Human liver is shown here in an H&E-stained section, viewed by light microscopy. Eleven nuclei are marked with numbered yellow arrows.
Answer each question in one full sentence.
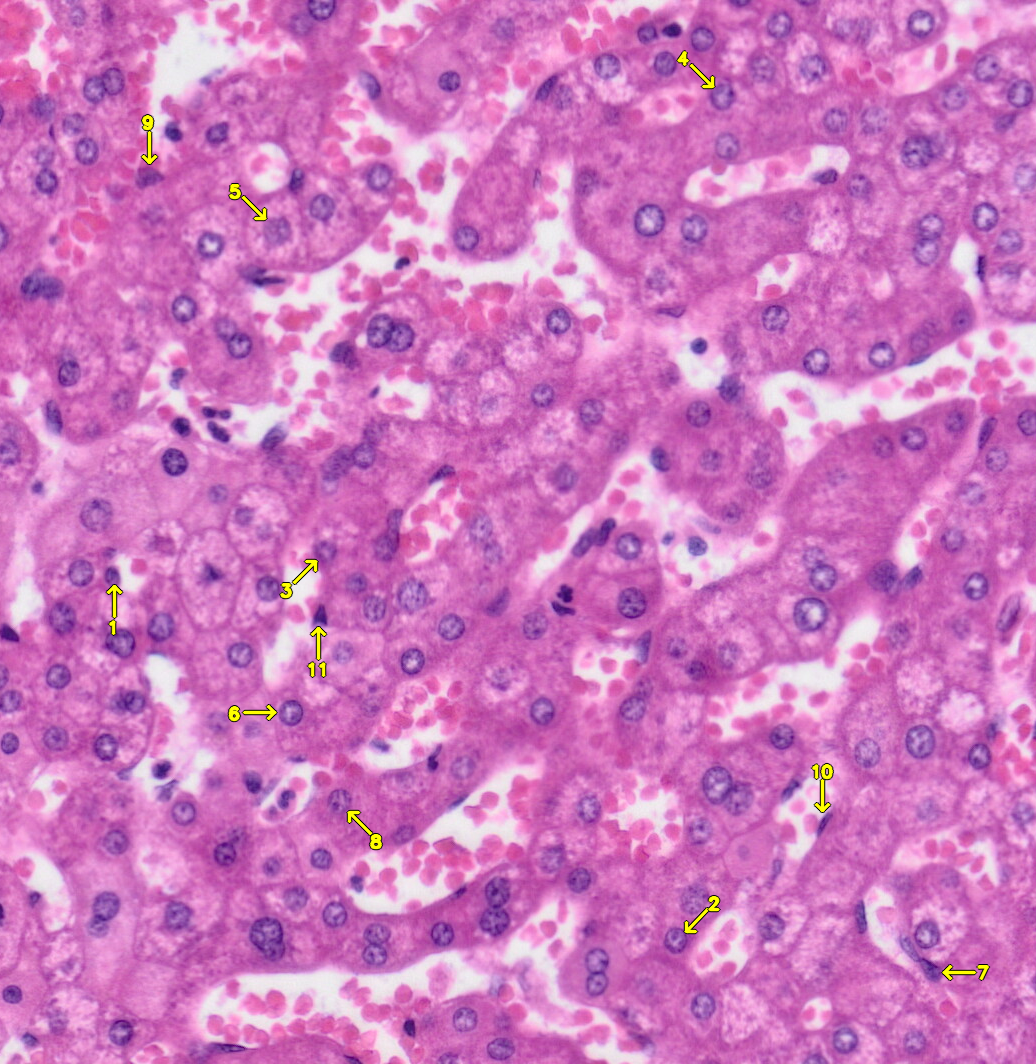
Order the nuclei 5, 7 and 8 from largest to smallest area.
The nuclei rank 5, 8, 7, from largest to smallest.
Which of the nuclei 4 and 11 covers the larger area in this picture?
Nucleus 4 is larger, with an area about 2 times that of nucleus 11.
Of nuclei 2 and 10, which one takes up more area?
At about 2.5 times the area of nucleus 10, nucleus 2 is the larger of the two.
